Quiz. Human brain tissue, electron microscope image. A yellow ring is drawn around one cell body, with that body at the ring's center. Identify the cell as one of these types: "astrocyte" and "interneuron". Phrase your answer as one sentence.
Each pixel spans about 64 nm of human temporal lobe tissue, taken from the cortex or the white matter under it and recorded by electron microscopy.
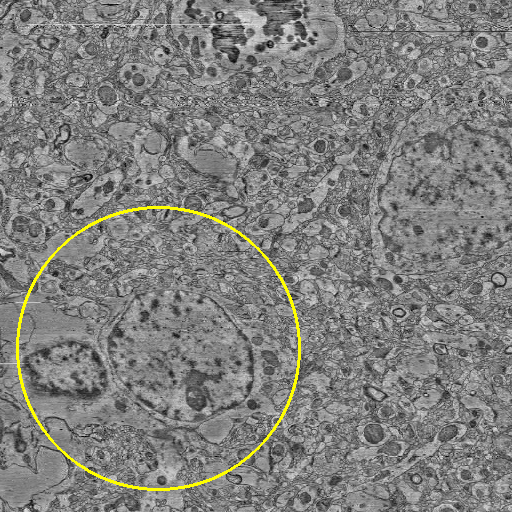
At the center of the ring sits an astrocyte.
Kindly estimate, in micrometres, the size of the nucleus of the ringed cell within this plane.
Approximately 9 micrometres across in this plane.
